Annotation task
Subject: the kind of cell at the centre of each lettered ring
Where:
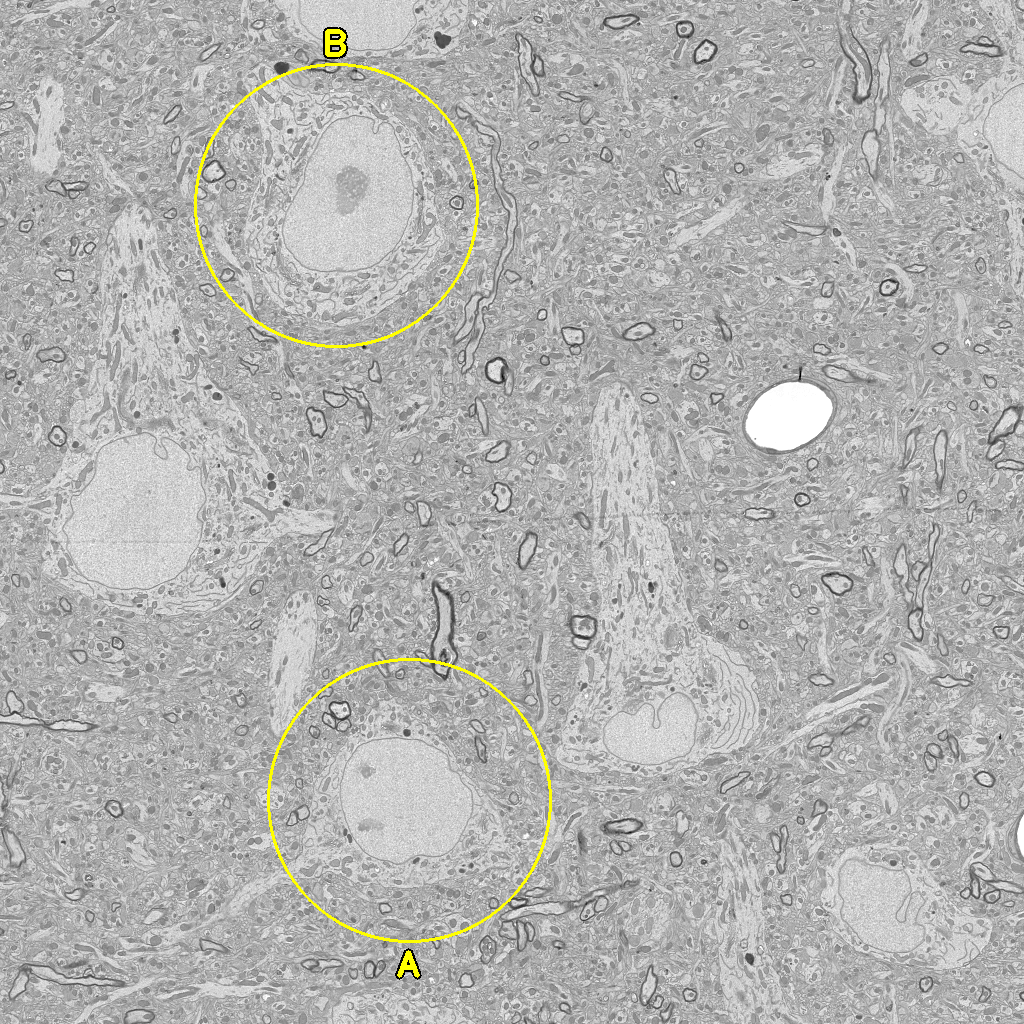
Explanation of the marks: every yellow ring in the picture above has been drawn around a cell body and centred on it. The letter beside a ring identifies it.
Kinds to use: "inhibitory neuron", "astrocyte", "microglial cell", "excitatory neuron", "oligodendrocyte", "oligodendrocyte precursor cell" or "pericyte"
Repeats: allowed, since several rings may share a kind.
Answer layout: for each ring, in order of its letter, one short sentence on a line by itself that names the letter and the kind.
The ring lettered A is drawn around an excitatory neuron.
The ring lettered B is drawn around an inhibitory neuron.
